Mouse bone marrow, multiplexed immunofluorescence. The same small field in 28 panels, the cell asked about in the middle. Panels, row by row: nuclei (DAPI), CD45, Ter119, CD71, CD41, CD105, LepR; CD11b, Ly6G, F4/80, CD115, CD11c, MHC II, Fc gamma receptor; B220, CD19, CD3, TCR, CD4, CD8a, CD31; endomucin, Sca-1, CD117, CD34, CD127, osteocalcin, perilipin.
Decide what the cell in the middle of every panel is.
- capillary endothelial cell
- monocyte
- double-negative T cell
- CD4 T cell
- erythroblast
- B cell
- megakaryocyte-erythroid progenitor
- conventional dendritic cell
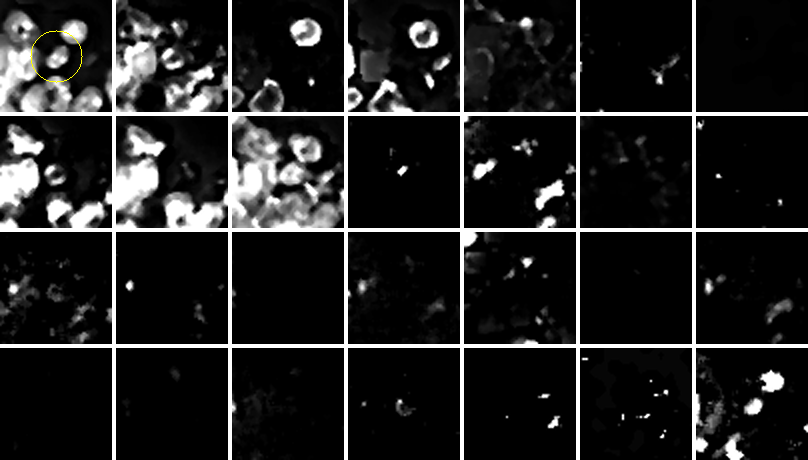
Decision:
monocyte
